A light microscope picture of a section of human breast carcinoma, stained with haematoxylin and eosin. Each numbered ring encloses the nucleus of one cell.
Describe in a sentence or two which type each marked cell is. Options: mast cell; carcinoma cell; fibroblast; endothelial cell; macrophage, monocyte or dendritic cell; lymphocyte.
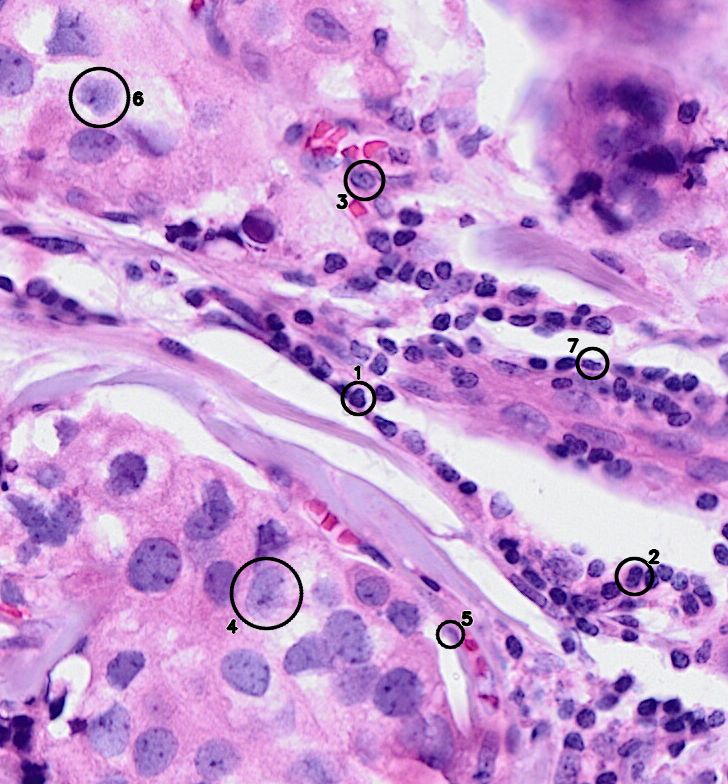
Cells 1, 2 and 7 are lymphocytes. Cells 3 and 5 are endothelial cells. Cells 4 and 6 are carcinoma cells.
